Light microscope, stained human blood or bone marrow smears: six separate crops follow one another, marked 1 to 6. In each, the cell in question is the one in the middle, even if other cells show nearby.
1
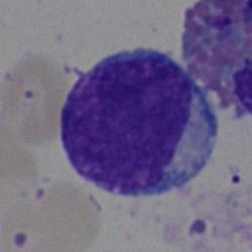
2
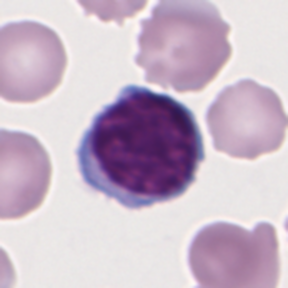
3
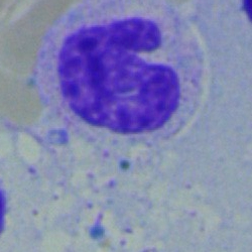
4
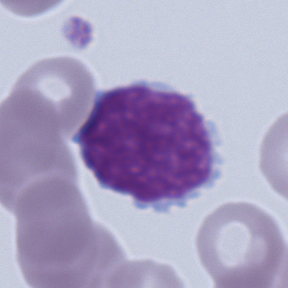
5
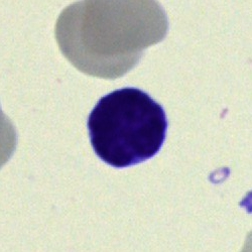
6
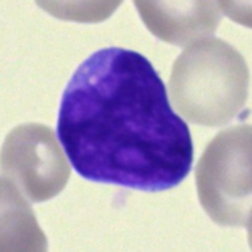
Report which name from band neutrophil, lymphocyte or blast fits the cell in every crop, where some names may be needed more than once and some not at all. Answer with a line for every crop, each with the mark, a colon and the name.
1: blast
2: lymphocyte
3: band neutrophil
4: lymphocyte
5: lymphocyte
6: blast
